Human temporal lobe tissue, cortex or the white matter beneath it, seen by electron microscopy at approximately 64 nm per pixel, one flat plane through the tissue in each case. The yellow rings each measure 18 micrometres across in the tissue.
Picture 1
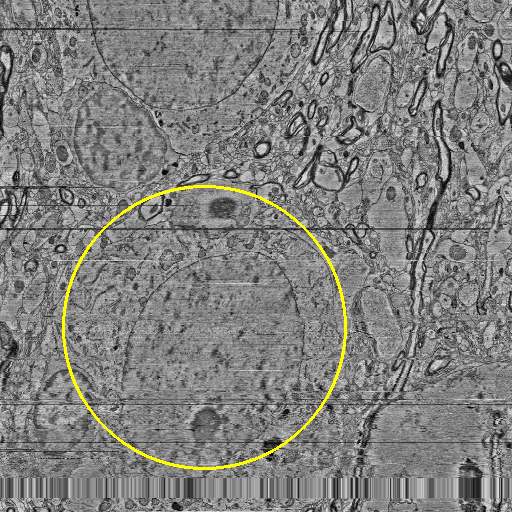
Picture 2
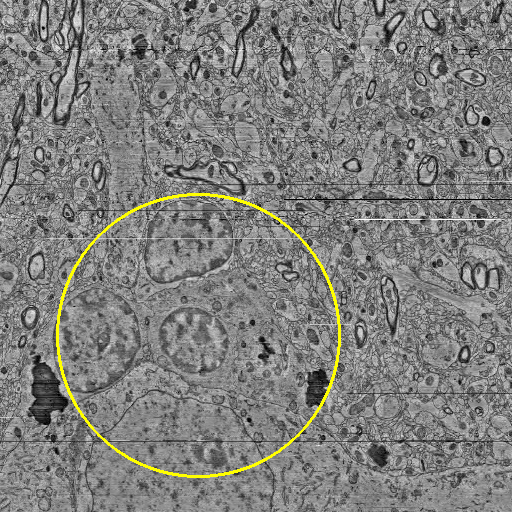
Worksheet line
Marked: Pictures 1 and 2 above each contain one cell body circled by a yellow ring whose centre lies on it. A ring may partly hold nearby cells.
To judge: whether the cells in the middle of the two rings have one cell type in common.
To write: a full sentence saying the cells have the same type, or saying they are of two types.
The cells in the middle of the rings in Picture 1 and Picture 2 are of two types.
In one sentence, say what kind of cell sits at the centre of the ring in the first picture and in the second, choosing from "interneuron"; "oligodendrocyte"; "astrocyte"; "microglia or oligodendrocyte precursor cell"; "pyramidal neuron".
The first picture's ringed cell is a pyramidal neuron, while the second picture's is an oligodendrocyte.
